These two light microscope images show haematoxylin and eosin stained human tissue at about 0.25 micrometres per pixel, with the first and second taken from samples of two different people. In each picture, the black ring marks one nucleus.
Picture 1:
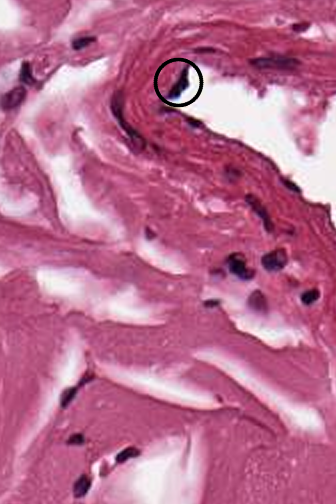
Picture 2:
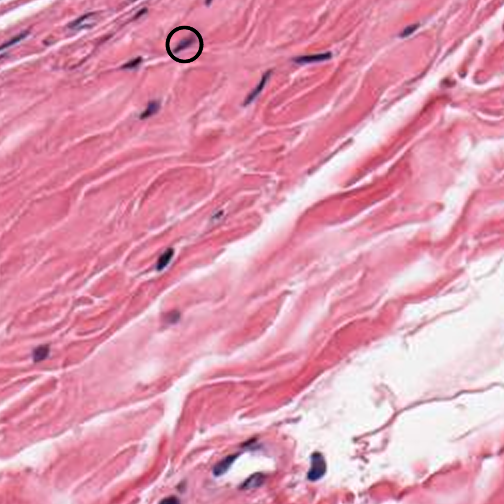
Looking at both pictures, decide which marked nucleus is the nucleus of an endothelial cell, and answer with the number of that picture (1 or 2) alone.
1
